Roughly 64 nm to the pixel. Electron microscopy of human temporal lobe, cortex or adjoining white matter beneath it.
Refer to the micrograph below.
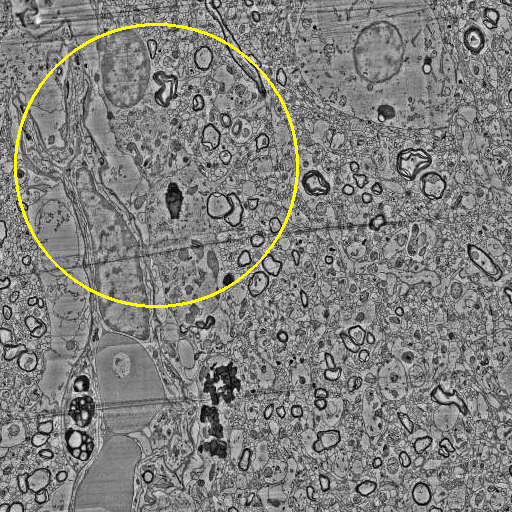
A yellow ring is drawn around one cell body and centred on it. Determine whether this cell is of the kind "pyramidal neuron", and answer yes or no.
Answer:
no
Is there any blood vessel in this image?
Yes, one appears.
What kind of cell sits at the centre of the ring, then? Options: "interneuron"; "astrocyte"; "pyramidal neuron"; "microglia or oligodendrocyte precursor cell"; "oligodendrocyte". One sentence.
The cell shown in the ring is an oligodendrocyte.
